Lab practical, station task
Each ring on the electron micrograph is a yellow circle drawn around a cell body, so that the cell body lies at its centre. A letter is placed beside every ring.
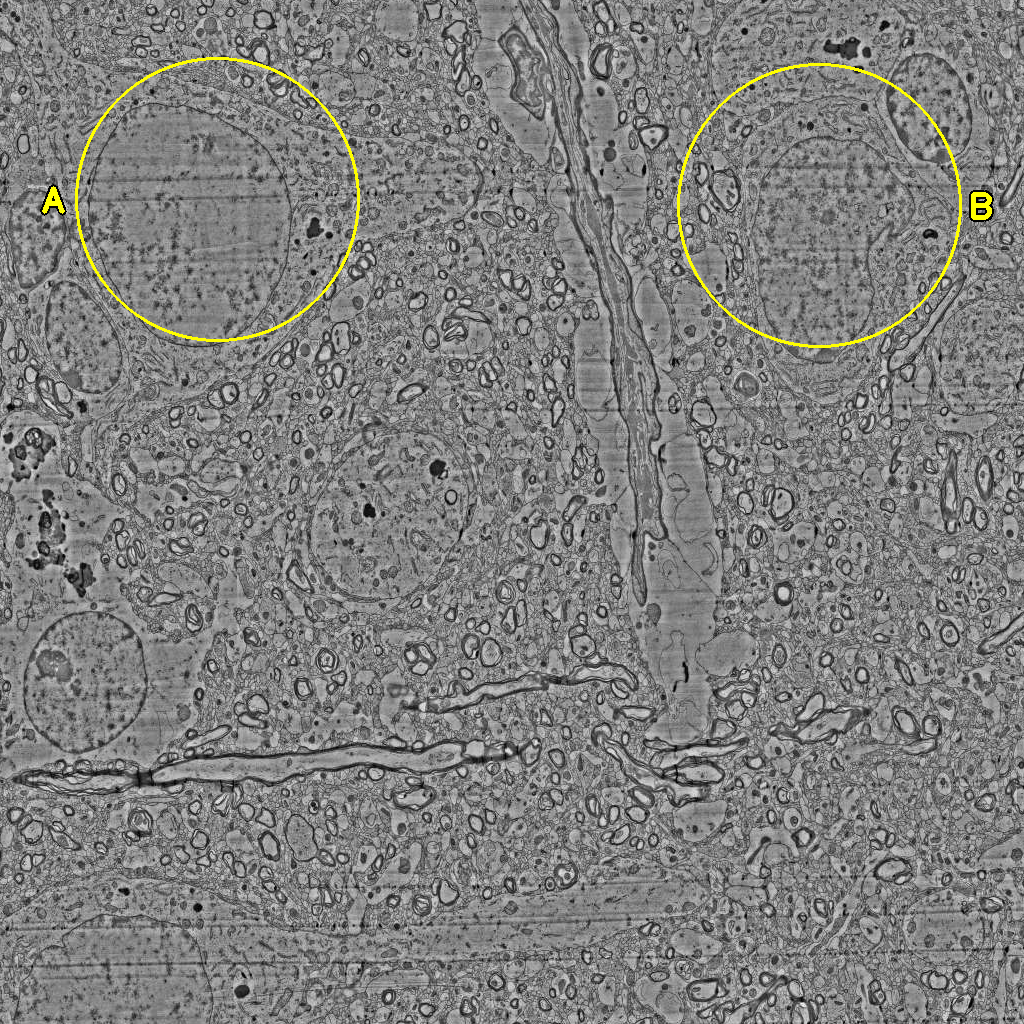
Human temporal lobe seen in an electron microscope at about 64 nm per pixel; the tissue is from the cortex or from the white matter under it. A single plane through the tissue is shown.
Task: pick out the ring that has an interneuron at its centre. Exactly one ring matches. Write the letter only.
B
